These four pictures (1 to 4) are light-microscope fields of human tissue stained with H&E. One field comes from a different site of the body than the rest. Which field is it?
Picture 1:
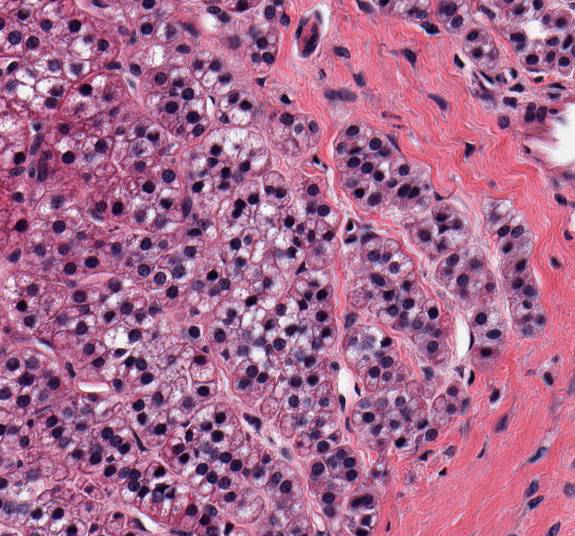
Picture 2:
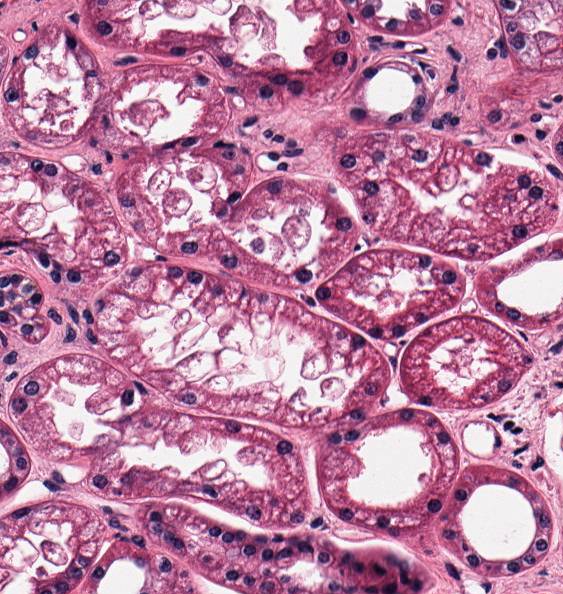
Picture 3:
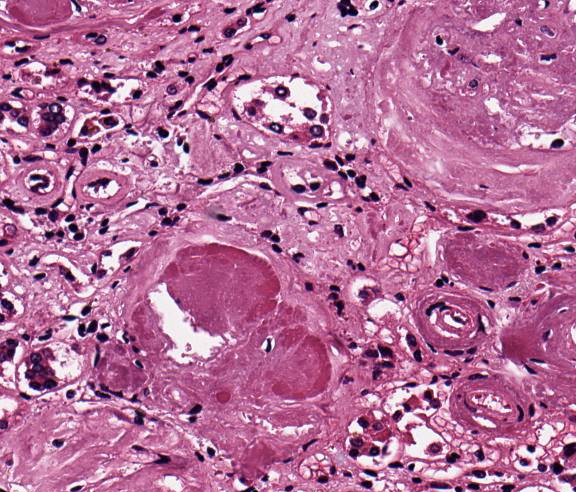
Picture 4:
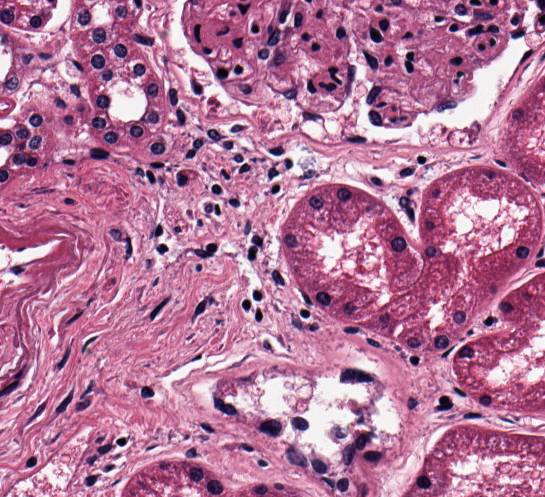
1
